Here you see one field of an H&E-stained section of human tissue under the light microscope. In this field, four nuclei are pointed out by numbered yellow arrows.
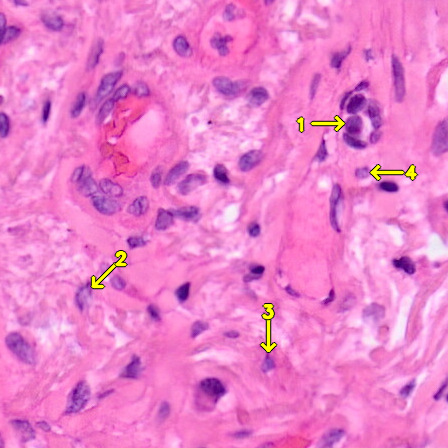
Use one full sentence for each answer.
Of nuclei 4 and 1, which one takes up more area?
The larger nucleus is 1, at roughly 1.5 times the area of 4.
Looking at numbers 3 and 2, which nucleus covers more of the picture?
The larger nucleus is 2, at roughly 3 times the area of 3.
